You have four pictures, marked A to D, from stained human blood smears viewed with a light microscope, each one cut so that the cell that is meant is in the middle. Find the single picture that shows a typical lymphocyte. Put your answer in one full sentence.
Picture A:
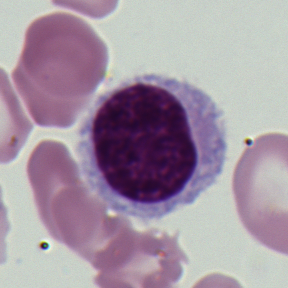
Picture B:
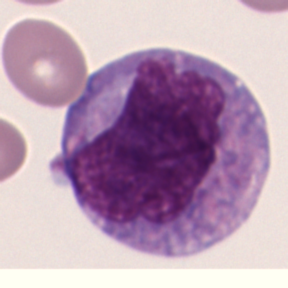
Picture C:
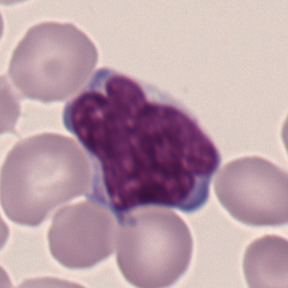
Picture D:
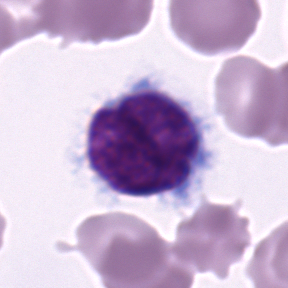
Picture C shows the typical lymphocyte.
